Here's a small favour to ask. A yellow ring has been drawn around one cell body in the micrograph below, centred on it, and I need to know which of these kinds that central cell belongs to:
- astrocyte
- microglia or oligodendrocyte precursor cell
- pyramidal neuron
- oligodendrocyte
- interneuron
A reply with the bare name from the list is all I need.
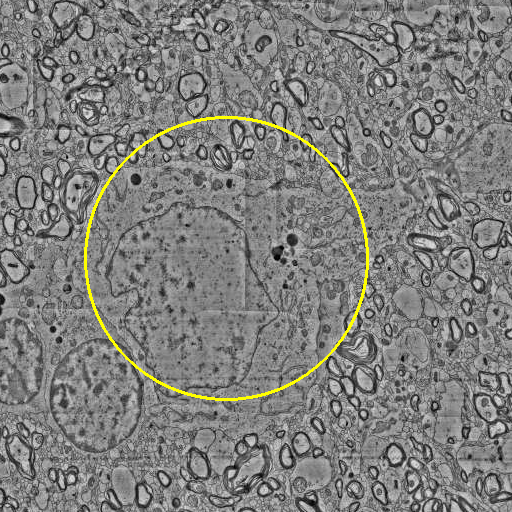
interneuron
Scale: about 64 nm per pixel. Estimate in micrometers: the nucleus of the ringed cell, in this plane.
Roughly 12 micrometres by 11 micrometres, in this plane.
